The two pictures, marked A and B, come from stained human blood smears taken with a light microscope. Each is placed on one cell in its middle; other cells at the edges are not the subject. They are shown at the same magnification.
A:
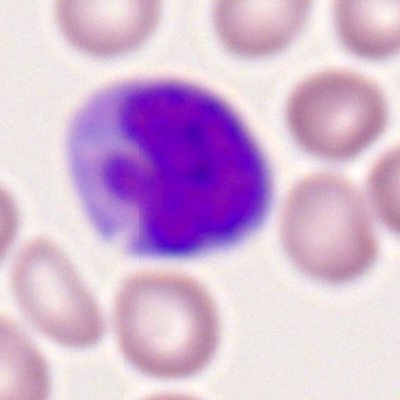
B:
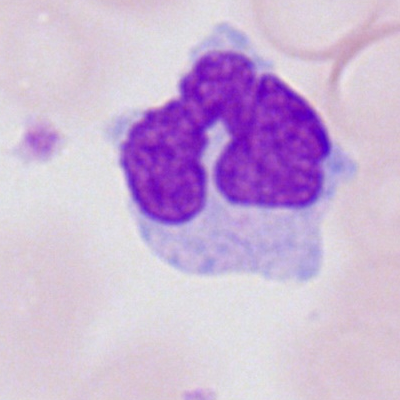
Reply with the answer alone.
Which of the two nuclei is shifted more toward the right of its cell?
A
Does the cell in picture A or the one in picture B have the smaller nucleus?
A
